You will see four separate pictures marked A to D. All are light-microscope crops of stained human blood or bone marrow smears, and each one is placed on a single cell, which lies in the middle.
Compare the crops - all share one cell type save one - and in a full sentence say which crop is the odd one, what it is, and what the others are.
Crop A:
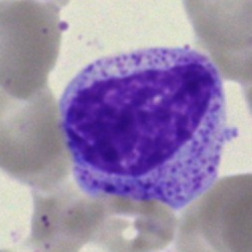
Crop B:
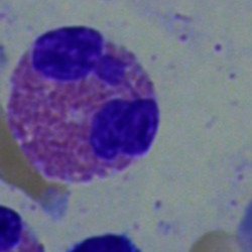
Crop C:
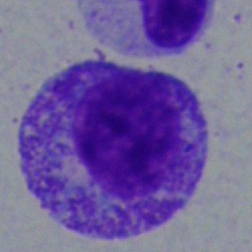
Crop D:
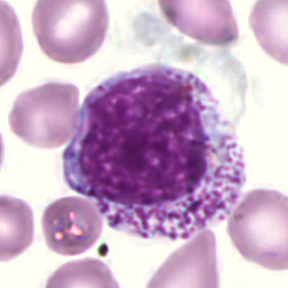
Crop B breaks the pattern with an eosinophil; all the others show myelocytes.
